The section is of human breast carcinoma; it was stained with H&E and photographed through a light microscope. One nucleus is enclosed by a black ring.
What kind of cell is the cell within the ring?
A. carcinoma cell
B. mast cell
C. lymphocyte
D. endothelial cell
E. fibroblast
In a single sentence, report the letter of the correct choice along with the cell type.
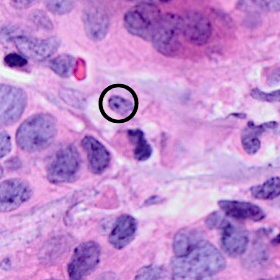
Option B is the right choice, for the cell within the ring is a mast cell.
